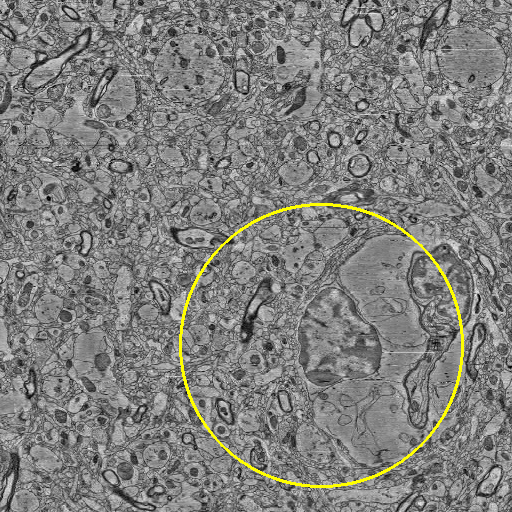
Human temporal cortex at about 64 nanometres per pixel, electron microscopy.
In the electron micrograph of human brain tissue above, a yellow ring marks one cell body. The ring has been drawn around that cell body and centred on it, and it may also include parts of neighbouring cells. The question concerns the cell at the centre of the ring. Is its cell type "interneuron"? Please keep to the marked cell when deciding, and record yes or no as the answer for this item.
no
